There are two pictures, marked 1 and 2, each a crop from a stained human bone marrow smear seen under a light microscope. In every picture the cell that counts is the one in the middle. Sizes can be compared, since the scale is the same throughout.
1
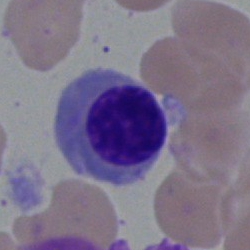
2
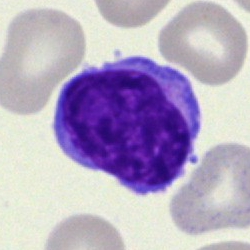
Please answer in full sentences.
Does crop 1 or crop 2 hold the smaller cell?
It is the cell in crop 1; the cell in crop 2 has about 1.5 times its area.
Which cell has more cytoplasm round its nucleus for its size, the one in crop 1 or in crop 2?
The nucleus fills less of the cell in crop 1 than in crop 2.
